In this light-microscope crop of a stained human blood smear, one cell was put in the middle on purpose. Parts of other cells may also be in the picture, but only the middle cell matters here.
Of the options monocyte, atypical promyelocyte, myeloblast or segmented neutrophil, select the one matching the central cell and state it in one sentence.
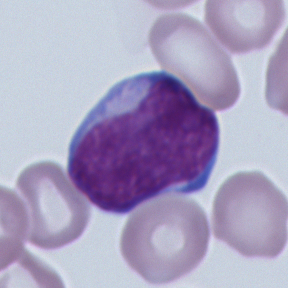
In this smear crop, the middle cell is a myeloblast.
